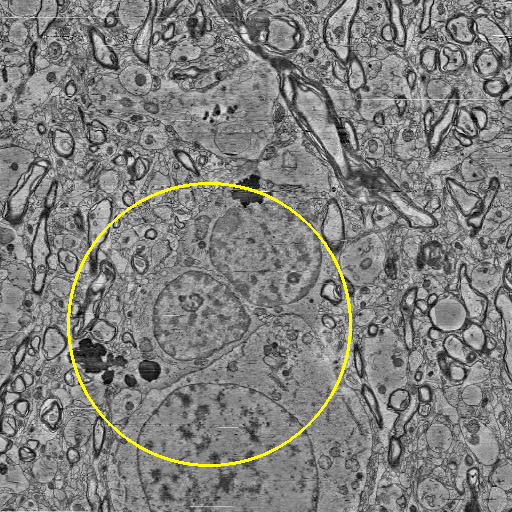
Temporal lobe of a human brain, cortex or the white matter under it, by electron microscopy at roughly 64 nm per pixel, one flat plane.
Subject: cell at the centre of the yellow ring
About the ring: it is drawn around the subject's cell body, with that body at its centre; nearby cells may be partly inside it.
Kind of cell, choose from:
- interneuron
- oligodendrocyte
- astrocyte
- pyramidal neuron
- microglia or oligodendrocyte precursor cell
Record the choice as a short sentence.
The subject cell is an oligodendrocyte.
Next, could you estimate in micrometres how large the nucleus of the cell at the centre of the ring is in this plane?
Roughly 6 micrometers across in this plane.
